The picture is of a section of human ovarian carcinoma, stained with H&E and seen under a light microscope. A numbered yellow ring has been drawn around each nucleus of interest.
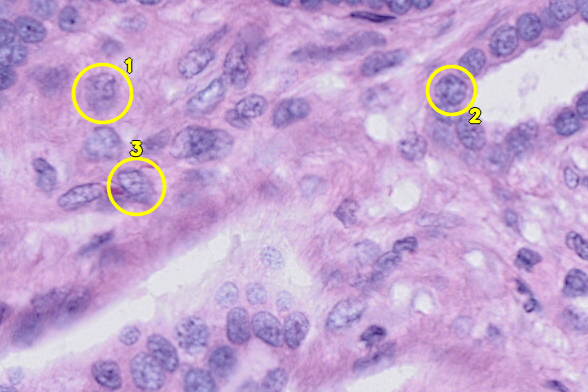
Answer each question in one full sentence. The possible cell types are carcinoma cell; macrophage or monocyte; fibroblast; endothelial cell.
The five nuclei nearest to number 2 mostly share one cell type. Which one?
The majority of the five nuclei closest to number 2 belong to carcinoma cells.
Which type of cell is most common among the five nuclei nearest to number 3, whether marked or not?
Fibroblasts account for more than half of the five nuclei nearest to number 3.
